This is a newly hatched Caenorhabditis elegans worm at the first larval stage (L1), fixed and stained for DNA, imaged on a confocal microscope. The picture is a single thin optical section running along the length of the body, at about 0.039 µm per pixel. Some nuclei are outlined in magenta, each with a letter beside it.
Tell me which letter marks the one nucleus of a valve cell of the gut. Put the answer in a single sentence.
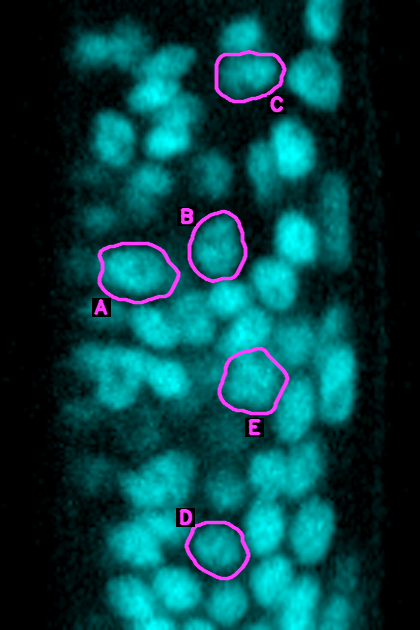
It is C that belongs to a valve cell of the gut.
